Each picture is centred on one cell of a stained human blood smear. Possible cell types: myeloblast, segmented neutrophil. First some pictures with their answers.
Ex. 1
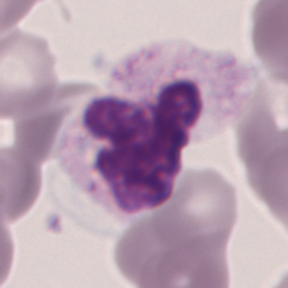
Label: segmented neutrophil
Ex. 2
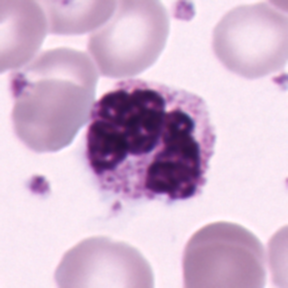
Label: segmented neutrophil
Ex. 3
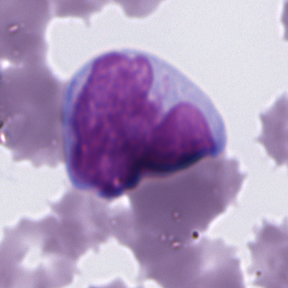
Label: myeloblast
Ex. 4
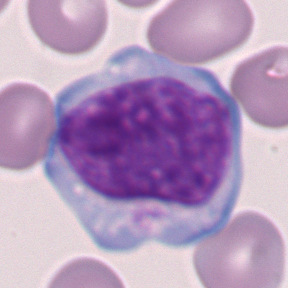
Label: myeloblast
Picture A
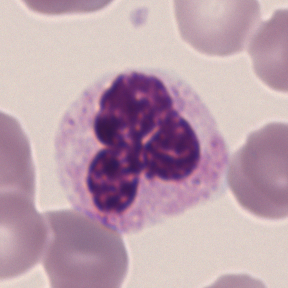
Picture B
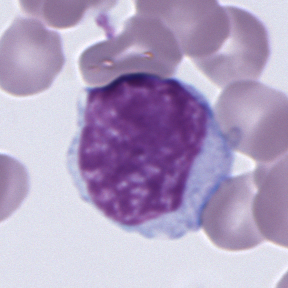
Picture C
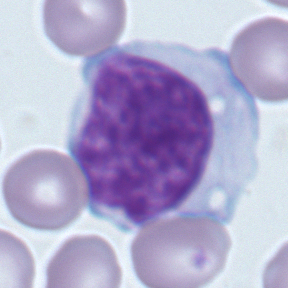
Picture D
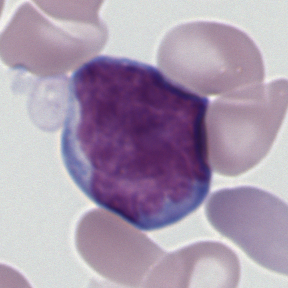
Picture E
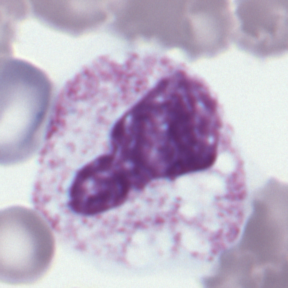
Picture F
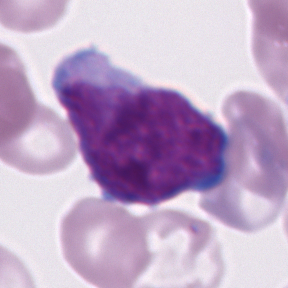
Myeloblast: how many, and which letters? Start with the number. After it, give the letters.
4, namely B, C, D, F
